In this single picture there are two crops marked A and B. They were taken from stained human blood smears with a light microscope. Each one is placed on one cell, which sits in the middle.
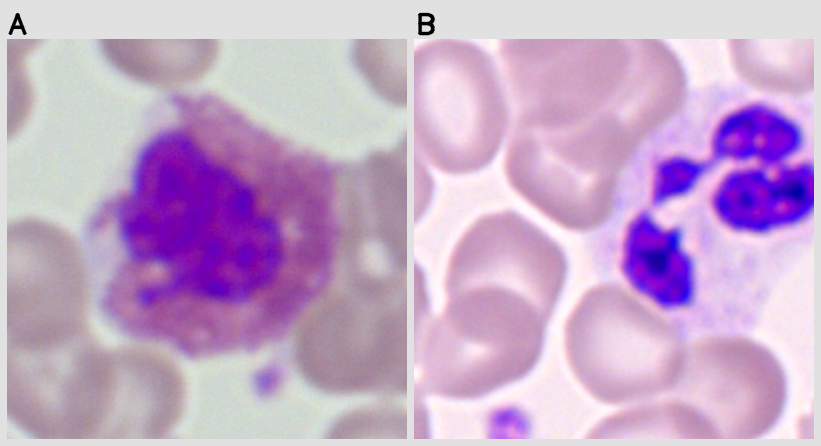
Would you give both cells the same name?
no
